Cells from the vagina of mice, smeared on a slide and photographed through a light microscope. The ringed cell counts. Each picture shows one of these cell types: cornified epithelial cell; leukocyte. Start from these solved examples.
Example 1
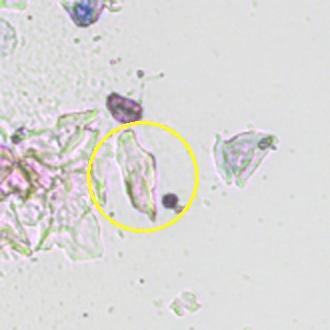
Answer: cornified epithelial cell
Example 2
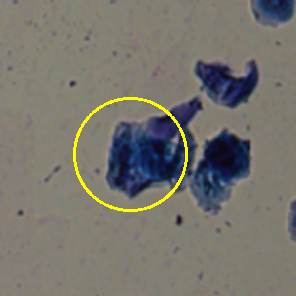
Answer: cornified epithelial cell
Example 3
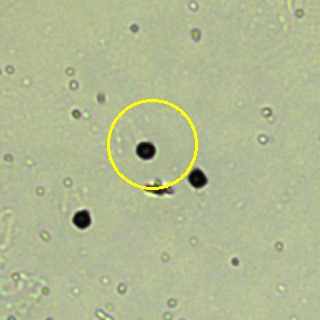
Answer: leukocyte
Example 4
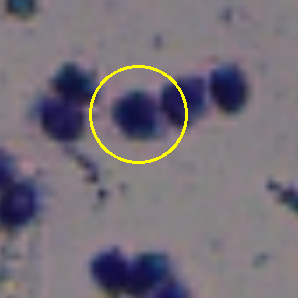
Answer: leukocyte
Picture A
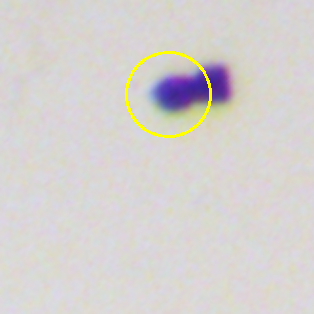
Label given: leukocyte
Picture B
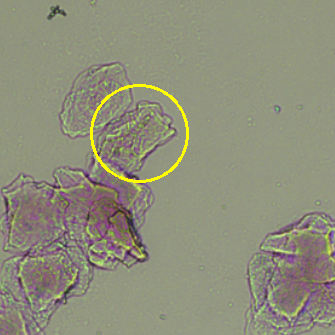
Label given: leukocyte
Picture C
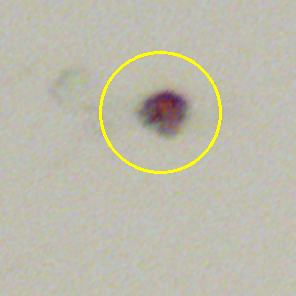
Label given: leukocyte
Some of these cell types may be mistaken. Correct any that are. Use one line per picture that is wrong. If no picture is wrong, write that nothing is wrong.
B should be cornified epithelial cell, not leukocyte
